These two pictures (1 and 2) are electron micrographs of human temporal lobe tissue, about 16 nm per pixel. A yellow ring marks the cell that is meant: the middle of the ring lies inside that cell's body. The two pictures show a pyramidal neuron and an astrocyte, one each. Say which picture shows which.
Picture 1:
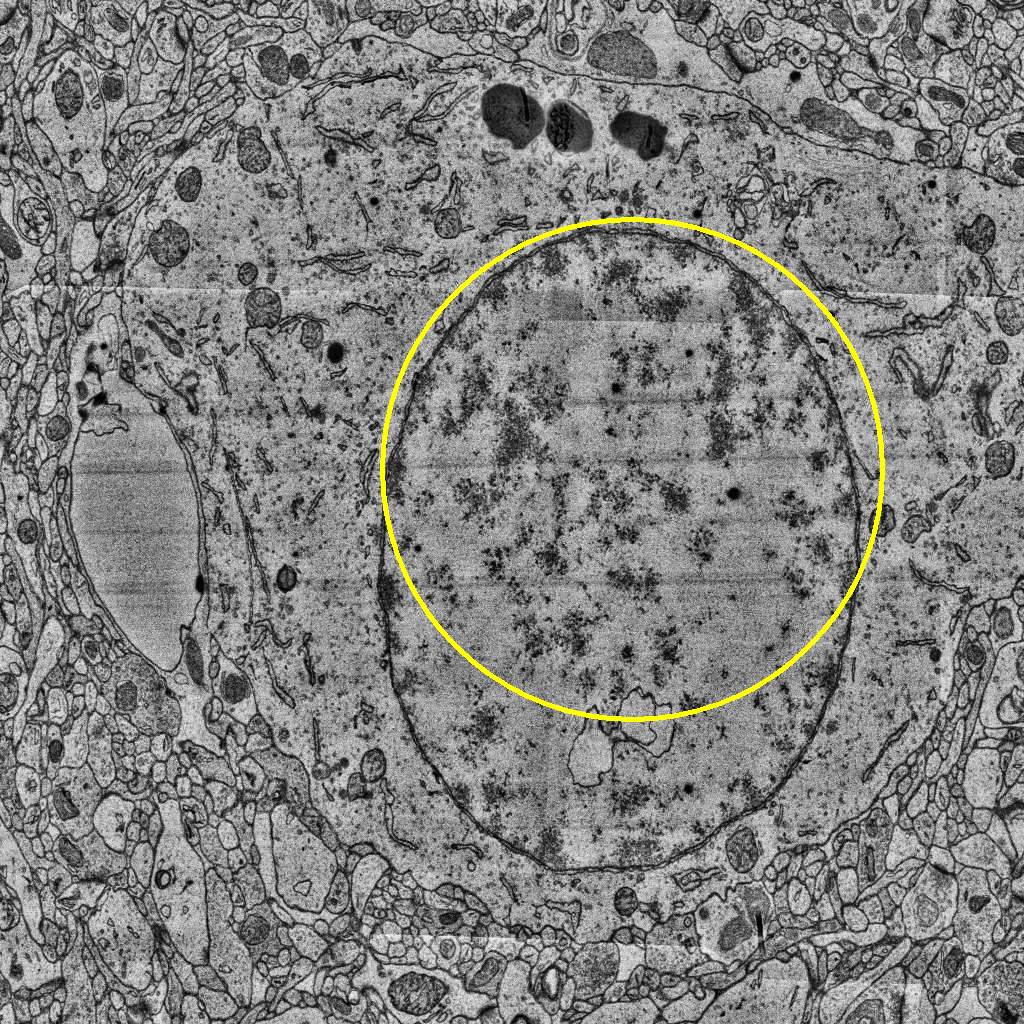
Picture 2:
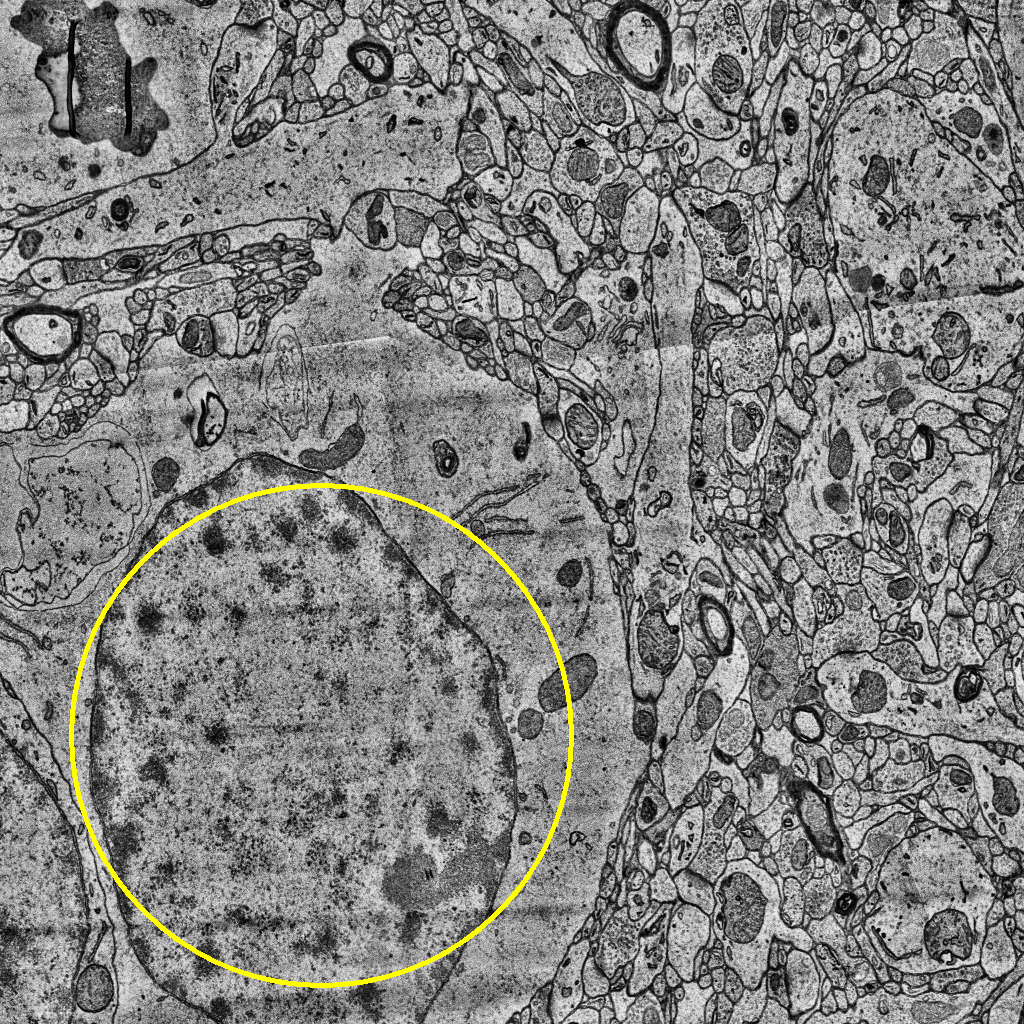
Picture 1 shows a pyramidal neuron and picture 2 shows an astrocyte.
